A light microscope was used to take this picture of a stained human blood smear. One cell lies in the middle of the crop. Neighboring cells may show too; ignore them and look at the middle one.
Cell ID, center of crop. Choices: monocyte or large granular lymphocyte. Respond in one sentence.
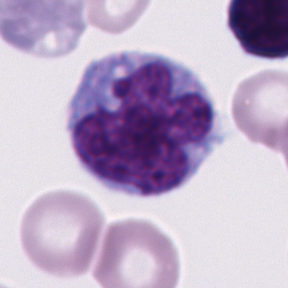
In the central position of this crop, the cell is a monocyte.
